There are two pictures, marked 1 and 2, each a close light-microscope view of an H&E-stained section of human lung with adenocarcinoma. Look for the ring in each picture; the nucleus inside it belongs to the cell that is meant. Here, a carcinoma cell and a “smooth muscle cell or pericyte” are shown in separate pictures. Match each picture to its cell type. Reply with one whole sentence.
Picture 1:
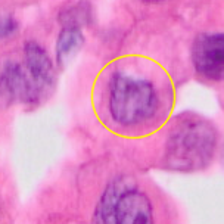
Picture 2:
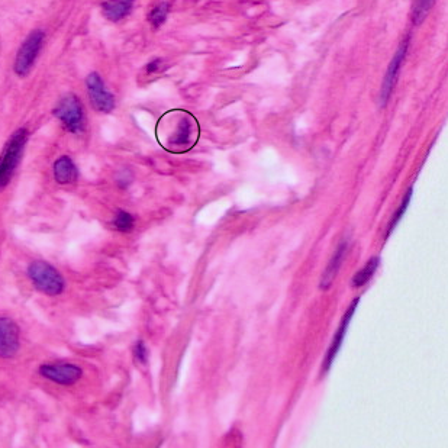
Picture 1 shows a carcinoma cell and picture 2 shows a “smooth muscle cell or pericyte”.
